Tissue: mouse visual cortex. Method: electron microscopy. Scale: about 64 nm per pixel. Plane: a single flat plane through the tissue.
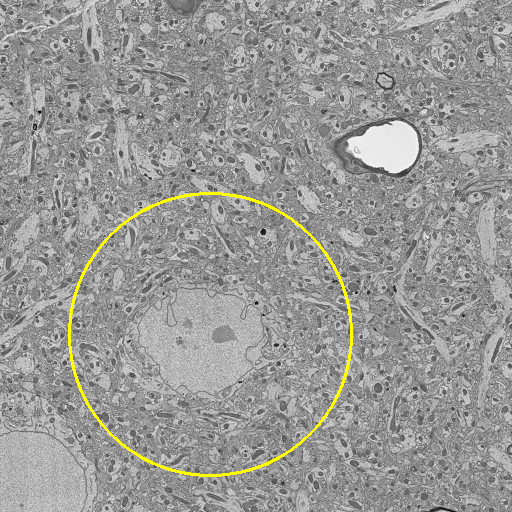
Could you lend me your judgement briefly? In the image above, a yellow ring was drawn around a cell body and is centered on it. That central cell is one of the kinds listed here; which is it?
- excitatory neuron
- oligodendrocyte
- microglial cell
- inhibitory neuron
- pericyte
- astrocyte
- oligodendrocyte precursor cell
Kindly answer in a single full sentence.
Going by the list, an inhibitory neuron is the kind at the ring's center in the picture.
